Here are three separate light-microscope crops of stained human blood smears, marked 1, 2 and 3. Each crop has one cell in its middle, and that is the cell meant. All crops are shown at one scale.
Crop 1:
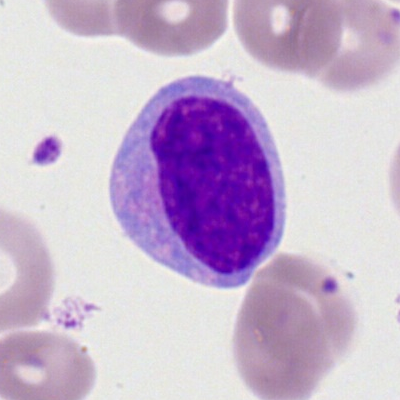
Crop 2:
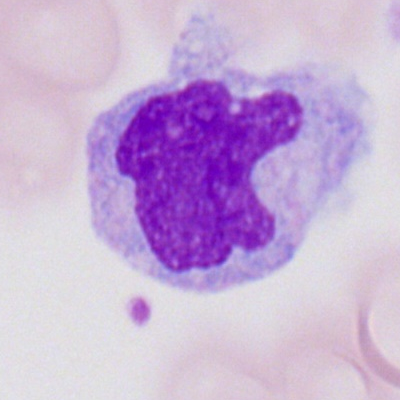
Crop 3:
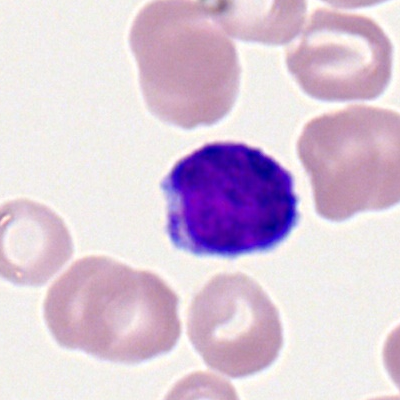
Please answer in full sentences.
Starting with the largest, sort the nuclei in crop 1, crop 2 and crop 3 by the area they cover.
Going down, they run 2, 1, 3.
